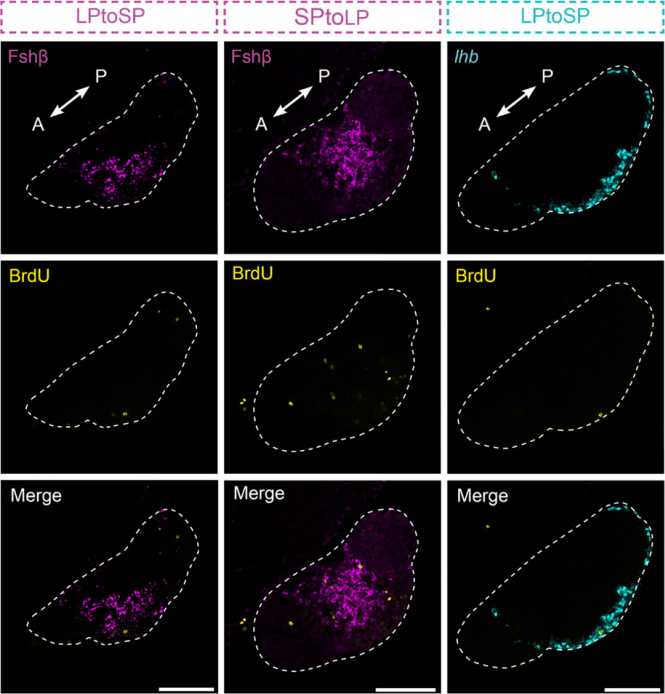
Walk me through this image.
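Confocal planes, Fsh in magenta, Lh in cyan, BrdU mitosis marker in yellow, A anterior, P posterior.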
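Small, round yellow nuclei are scattered sparsely through the gland, more numerous in some images than others. In the merged images, several yellow nuclei lie among or beside the magenta or cyan cell clusters.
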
